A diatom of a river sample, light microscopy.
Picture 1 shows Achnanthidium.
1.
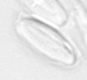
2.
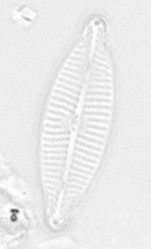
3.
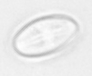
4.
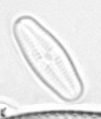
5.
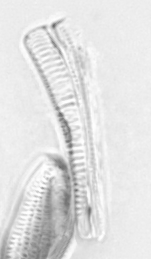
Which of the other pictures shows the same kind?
Picture 4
